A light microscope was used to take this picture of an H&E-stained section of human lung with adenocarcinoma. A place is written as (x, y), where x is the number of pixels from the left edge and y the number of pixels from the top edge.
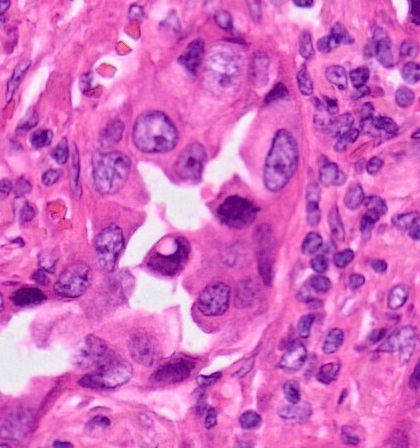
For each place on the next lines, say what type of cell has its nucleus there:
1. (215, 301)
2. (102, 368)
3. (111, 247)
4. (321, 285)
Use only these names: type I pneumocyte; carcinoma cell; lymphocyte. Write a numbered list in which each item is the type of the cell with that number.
1. carcinoma cell
2. carcinoma cell
3. carcinoma cell
4. lymphocyte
